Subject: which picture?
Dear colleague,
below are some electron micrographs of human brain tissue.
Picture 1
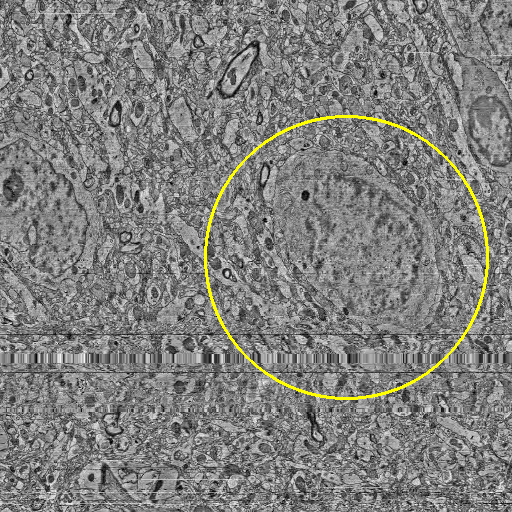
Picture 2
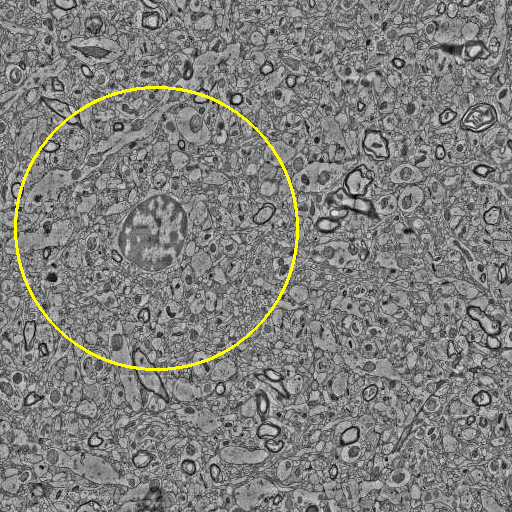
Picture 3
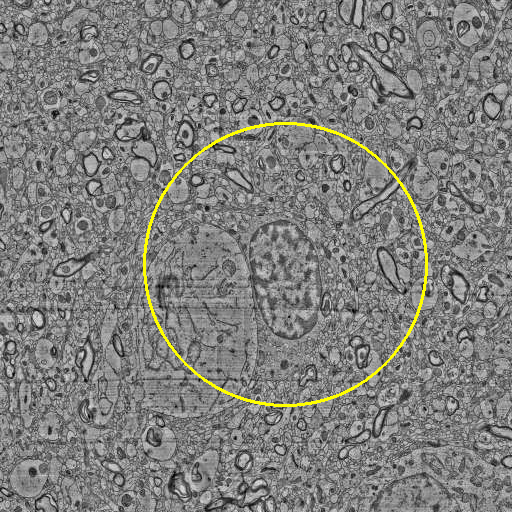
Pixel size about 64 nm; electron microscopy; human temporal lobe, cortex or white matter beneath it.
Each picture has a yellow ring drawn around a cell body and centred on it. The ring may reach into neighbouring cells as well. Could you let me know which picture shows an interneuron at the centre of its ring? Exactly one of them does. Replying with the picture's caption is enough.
Picture 1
